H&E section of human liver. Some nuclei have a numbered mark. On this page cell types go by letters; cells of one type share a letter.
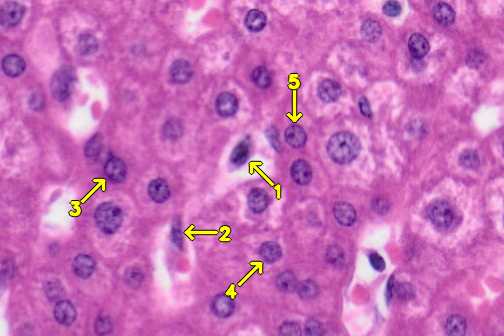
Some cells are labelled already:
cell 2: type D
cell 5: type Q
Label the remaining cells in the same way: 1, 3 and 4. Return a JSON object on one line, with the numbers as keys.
{"1": "type D", "3": "type Q", "4": "type Q"}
